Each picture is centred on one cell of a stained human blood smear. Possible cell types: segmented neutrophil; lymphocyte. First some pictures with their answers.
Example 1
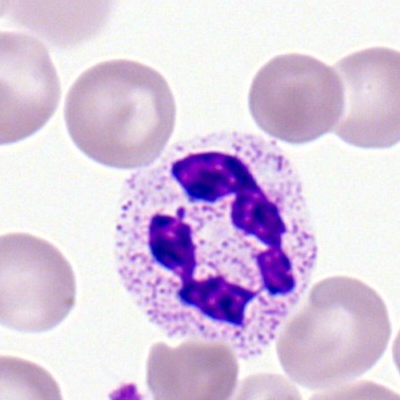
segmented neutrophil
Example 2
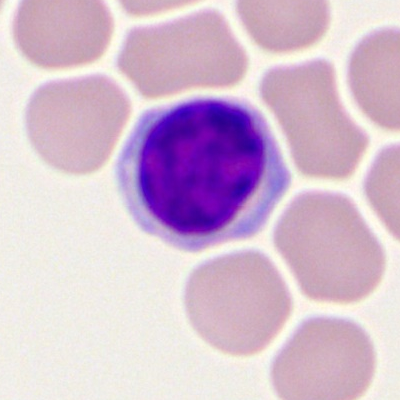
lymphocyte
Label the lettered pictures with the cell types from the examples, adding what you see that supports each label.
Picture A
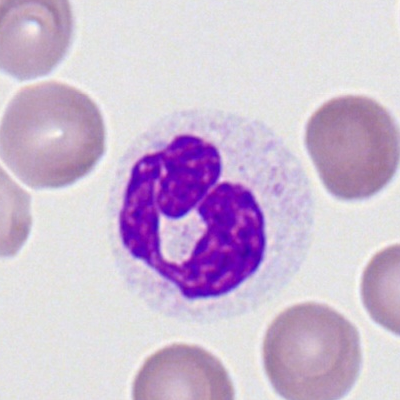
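segmented neutrophil. The cytoplasm is plentiful and pale lilac-pink.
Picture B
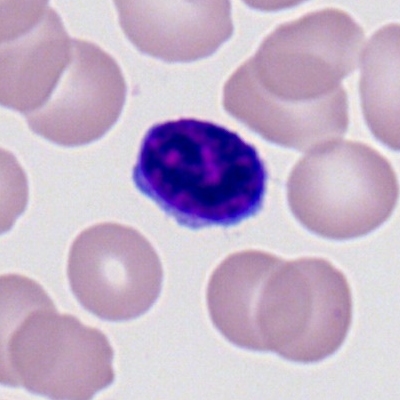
lymphocyte. The nucleus fills almost the whole cell, leaving only a scant rim of cytoplasm.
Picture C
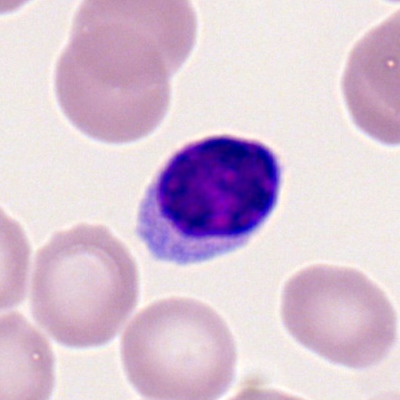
lymphocyte. The cytoplasm is scant and pale blue.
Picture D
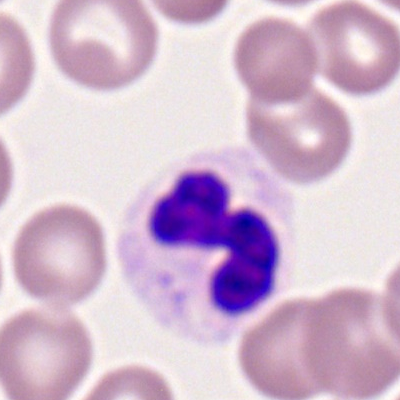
segmented neutrophil. The cytoplasm is plentiful and pale pinkish-lilac.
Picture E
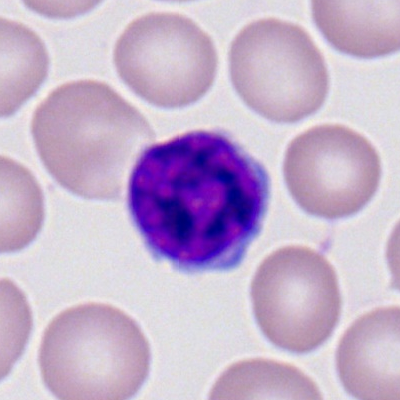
lymphocyte. The cytoplasm is only a thin rim around the nucleus.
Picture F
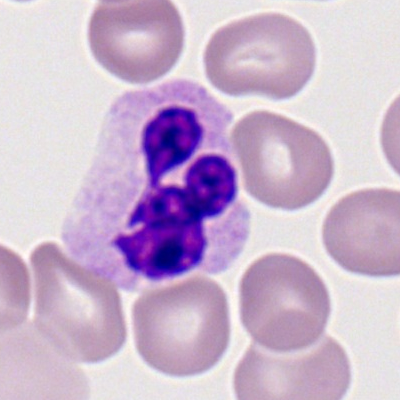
segmented neutrophil. The cytoplasm is plentiful and pale pinkish-lilac.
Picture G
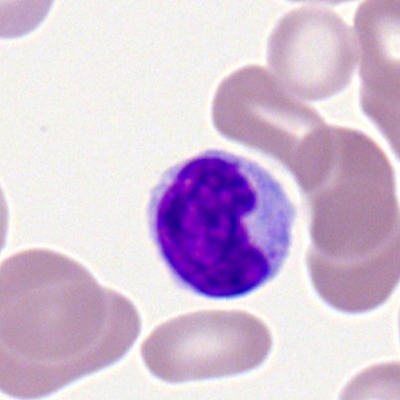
lymphocyte. The nucleus fills most of the cell.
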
